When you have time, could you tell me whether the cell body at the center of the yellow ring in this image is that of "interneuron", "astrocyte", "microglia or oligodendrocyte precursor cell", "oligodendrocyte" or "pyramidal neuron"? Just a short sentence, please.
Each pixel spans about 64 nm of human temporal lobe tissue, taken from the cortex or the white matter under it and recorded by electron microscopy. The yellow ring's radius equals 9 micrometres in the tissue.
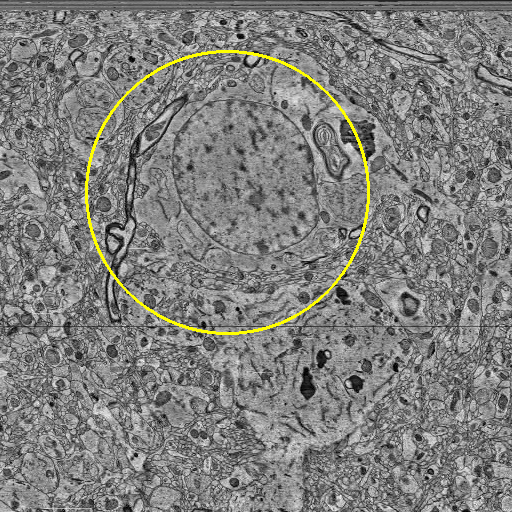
The cell body at the center of the ring is that of an astrocyte.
